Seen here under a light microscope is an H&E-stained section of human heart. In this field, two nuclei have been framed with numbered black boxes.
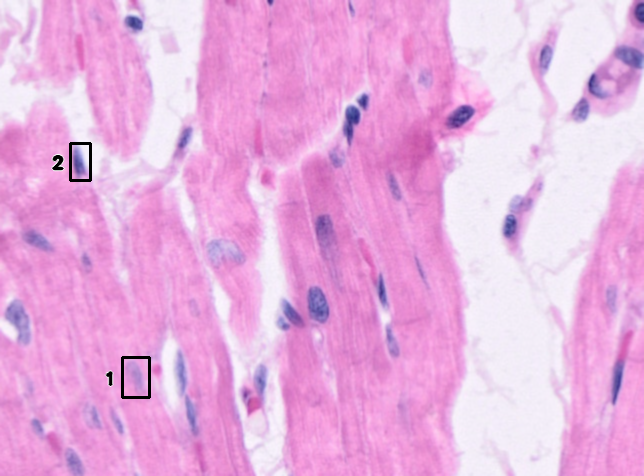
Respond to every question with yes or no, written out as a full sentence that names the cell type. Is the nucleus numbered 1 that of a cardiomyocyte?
Yes, in the section, number 1 is a cardiomyocyte.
